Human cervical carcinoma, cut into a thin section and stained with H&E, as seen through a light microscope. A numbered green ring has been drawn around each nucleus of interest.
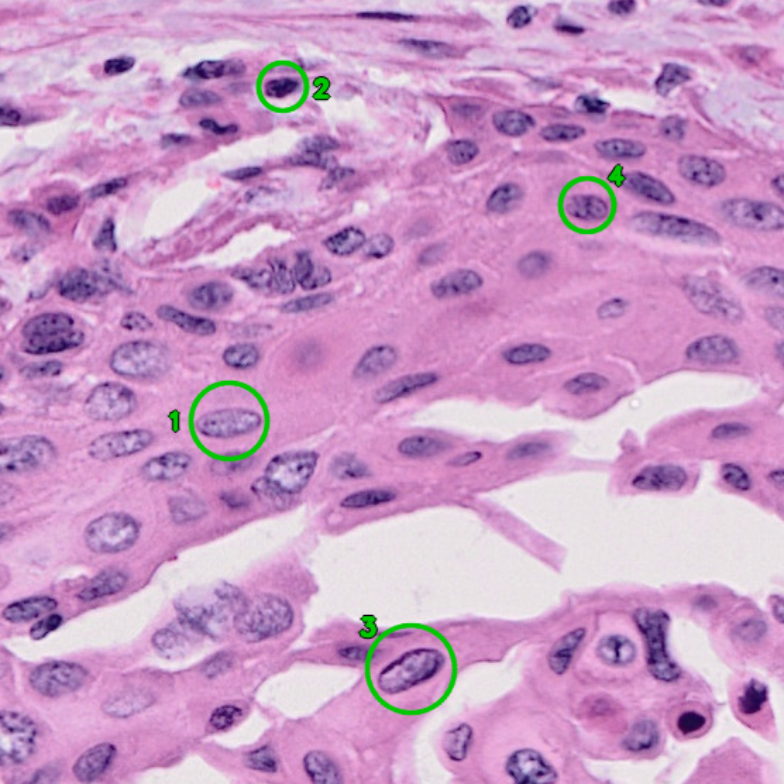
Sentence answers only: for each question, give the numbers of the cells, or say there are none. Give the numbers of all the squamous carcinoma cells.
The cells 1, 3 and 4 in this section are squamous carcinoma cells.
